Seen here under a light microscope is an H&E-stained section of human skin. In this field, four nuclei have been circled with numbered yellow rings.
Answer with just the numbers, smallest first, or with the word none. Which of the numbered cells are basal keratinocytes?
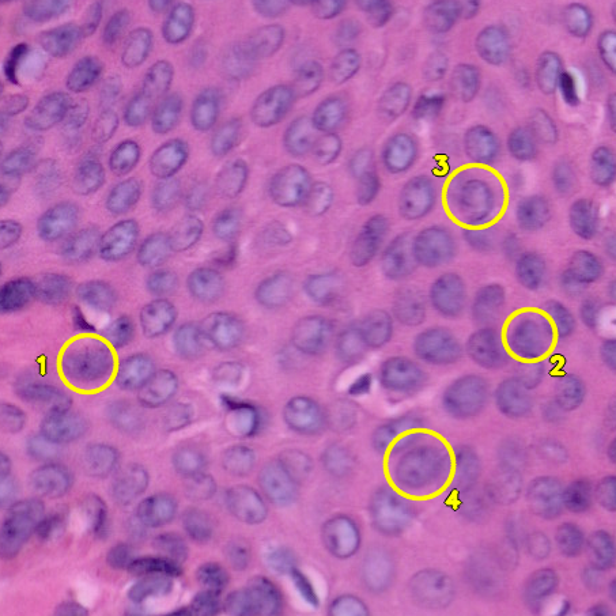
1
